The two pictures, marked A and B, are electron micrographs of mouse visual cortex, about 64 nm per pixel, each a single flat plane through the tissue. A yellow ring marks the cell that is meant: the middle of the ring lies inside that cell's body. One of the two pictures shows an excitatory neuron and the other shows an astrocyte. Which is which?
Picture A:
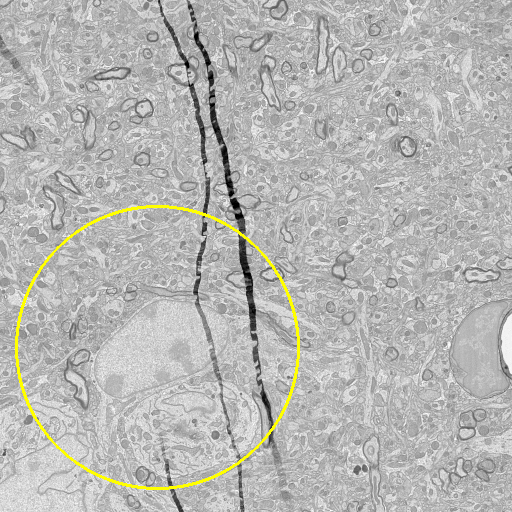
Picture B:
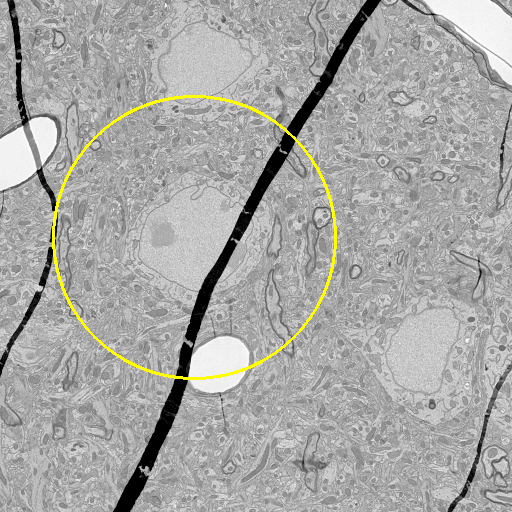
Picture A is of an astrocyte, and picture B is of an excitatory neuron.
